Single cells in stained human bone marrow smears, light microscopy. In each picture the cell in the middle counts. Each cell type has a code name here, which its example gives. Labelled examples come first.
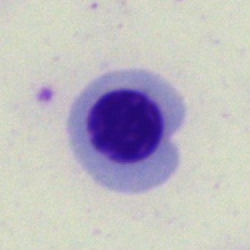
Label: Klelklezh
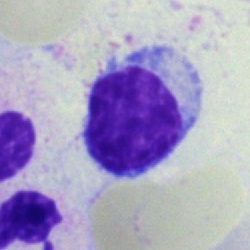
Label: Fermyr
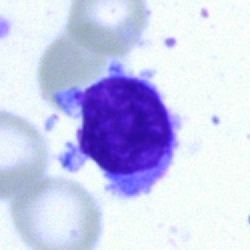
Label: Fermyr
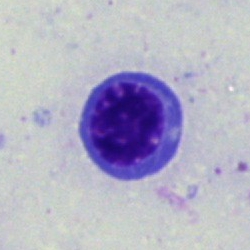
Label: Klelklezh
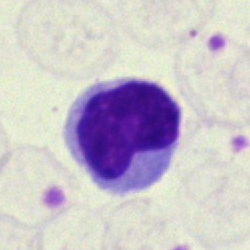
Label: Fermyr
